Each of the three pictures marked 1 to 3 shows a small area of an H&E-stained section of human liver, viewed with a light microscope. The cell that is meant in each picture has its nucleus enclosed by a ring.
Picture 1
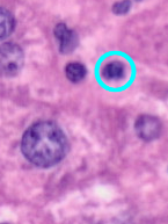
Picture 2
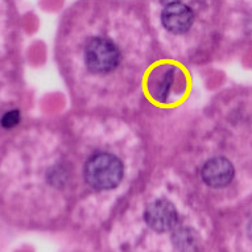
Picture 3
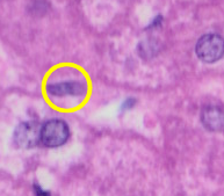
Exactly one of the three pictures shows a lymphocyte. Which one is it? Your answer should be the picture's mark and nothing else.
1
